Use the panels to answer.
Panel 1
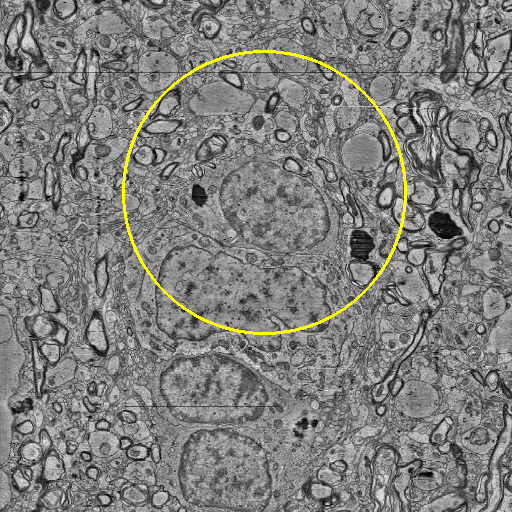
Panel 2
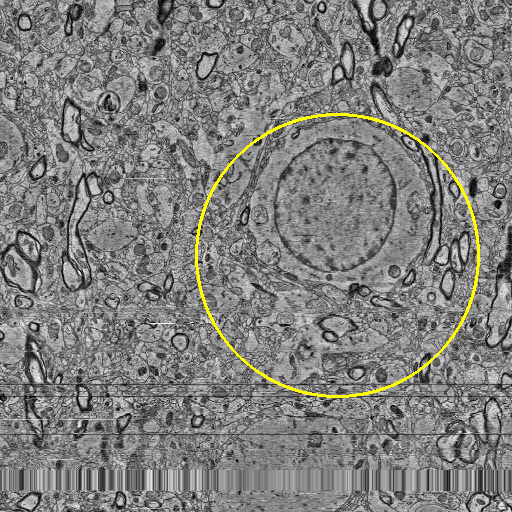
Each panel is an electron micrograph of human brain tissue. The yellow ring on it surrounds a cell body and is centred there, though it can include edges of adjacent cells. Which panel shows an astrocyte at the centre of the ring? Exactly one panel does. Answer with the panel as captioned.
Panel 2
